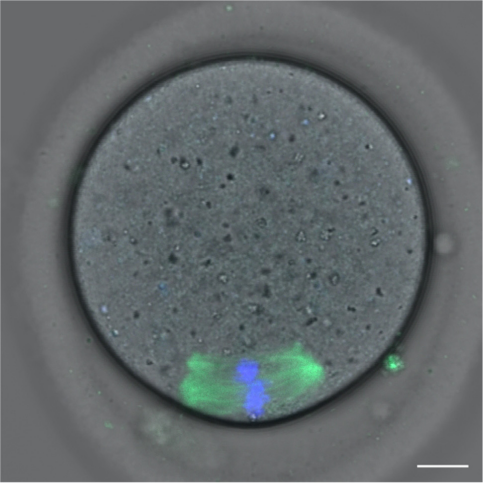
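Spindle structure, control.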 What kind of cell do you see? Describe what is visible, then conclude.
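Oocytes. A single large round cell fills the panel. A wide clear layer surrounds the cell. A small body lies in the space between the cell and the outer layer.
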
